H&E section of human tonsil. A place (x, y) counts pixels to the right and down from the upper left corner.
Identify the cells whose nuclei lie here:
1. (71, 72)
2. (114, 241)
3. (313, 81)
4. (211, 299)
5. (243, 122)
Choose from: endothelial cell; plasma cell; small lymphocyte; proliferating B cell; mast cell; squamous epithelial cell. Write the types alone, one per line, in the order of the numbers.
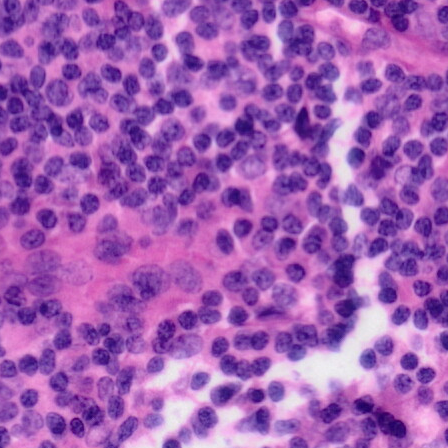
small lymphocyte
endothelial cell
small lymphocyte
endothelial cell
small lymphocyte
